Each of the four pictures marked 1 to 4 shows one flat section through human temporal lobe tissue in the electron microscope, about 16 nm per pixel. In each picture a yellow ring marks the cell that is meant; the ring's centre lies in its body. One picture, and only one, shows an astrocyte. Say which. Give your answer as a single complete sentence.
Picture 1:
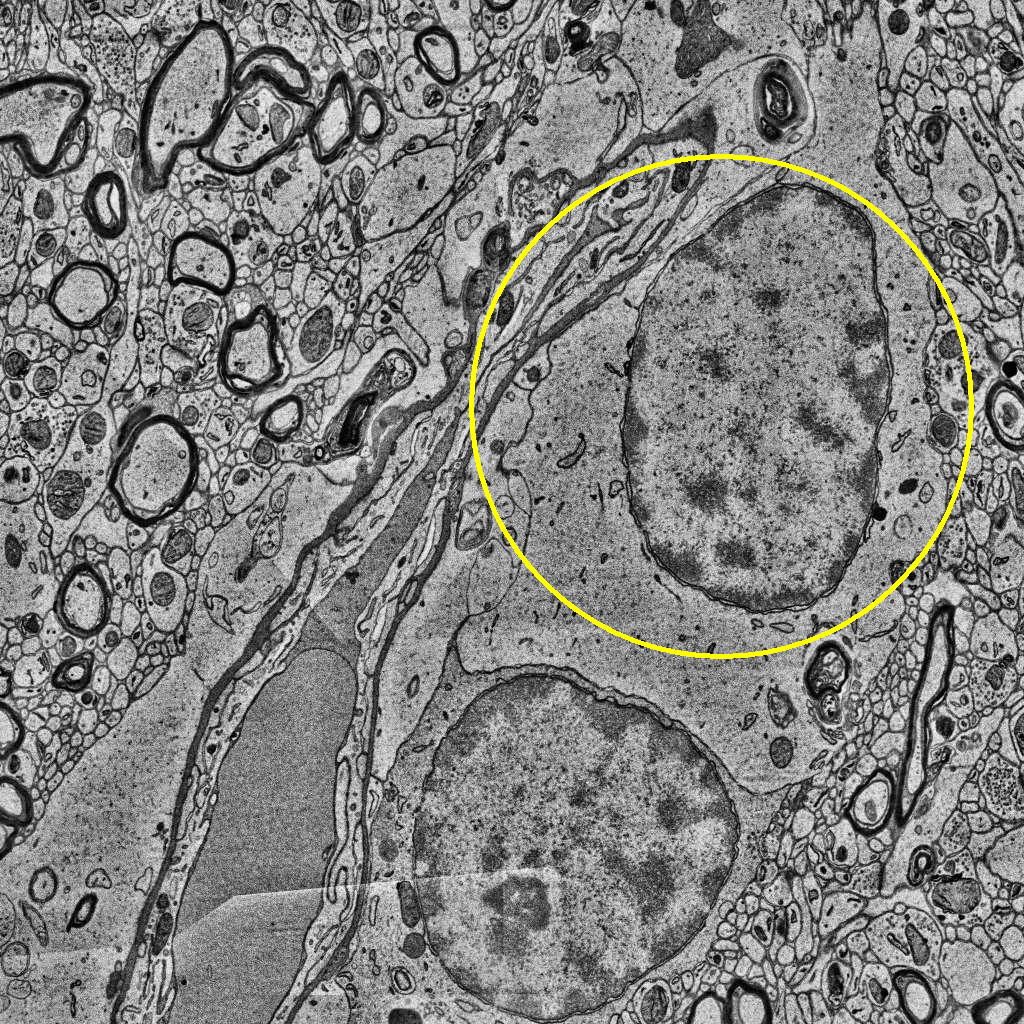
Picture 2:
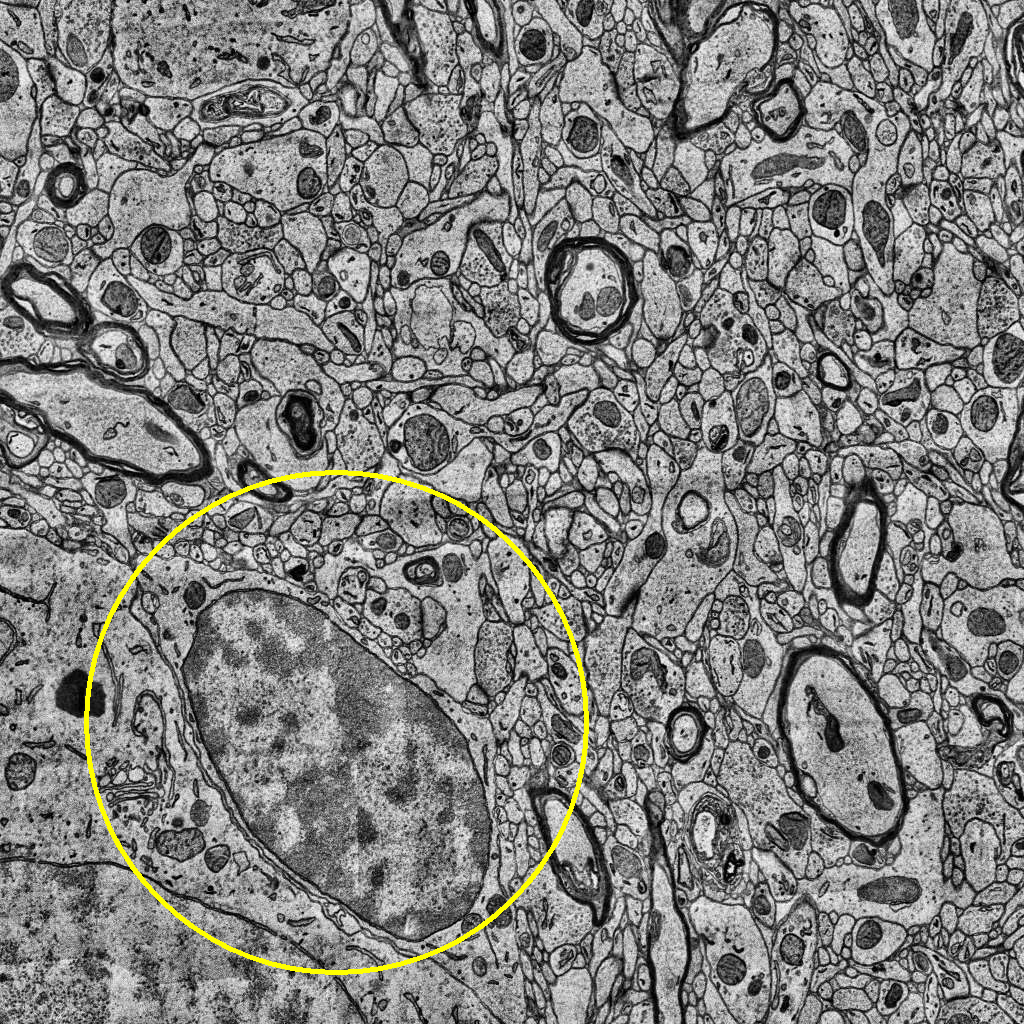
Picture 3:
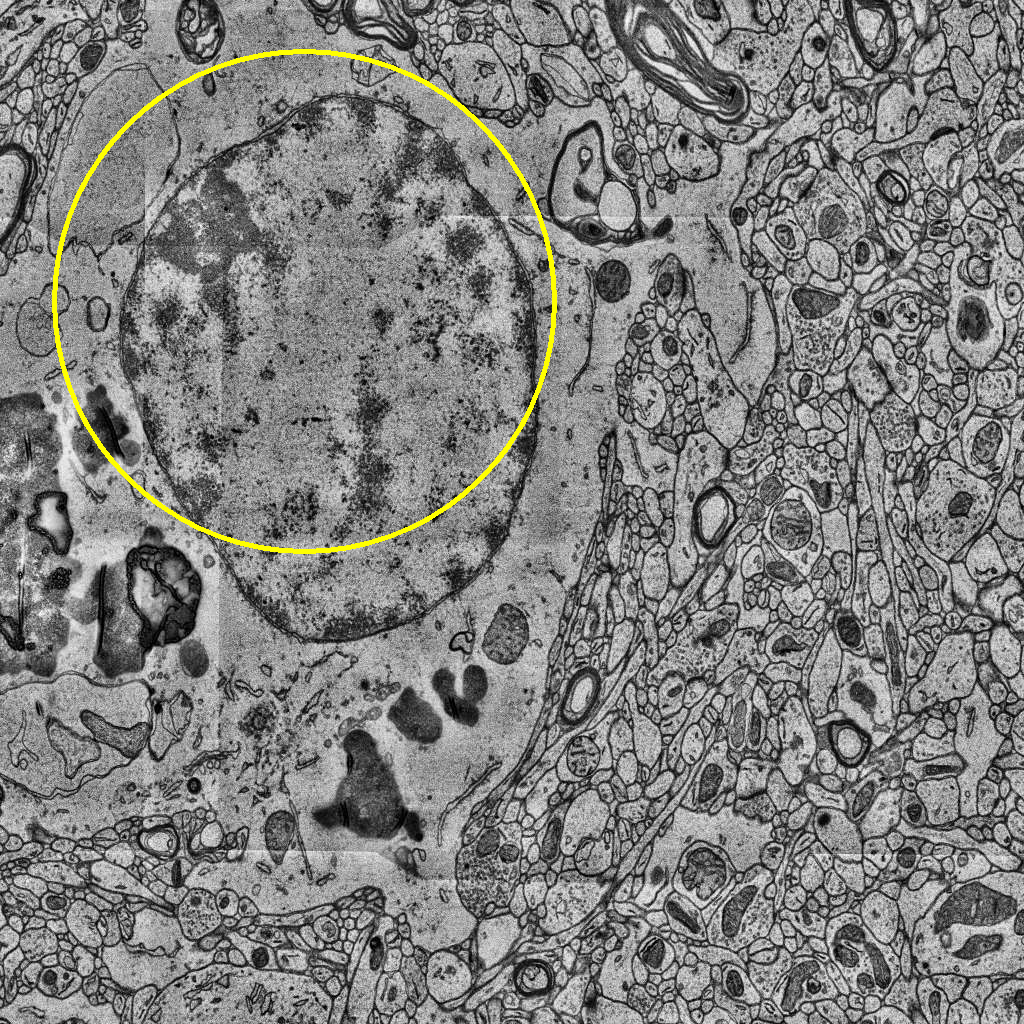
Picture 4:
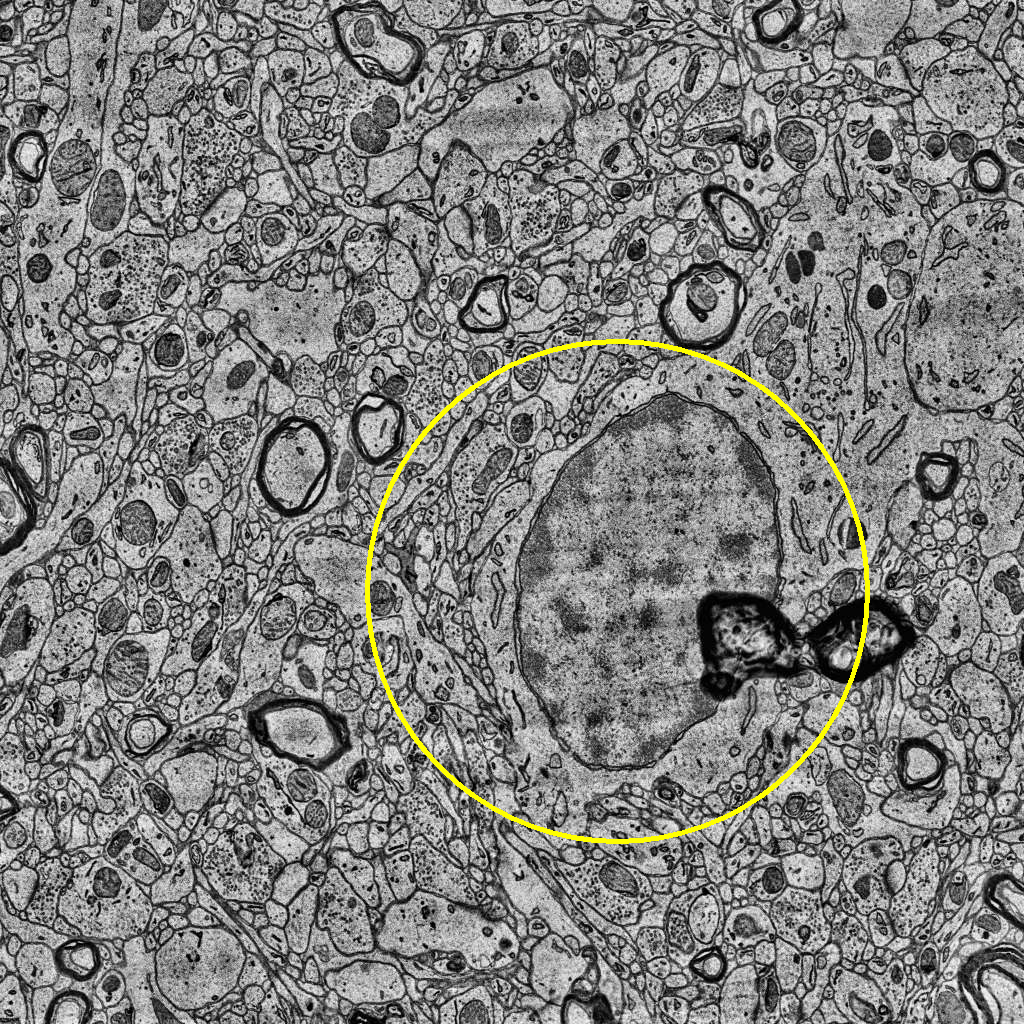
Picture 3 shows the astrocyte.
